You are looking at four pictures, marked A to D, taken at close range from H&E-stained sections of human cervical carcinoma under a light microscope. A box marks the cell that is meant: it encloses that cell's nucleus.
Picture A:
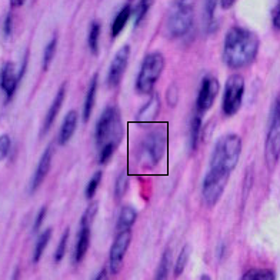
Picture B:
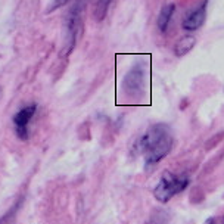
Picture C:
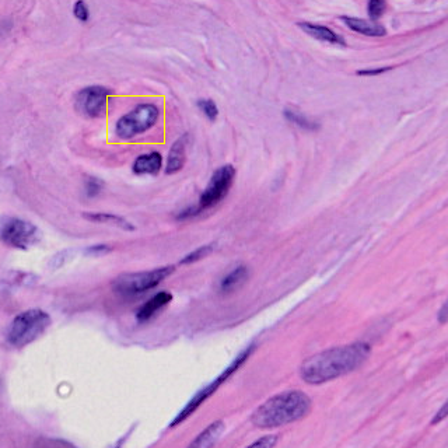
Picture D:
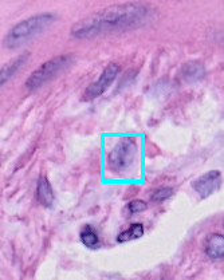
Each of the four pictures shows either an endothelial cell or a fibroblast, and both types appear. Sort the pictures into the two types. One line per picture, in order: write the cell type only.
endothelial cell
fibroblast
endothelial cell
fibroblast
